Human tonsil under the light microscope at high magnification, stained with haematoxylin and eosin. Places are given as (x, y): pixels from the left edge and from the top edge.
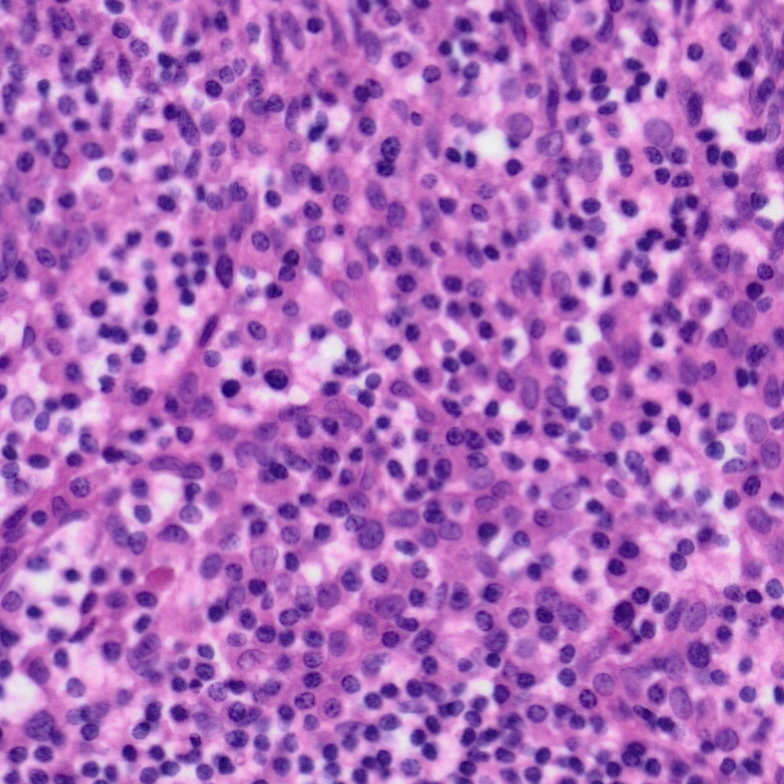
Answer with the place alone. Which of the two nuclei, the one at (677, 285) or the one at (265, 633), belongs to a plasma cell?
(265, 633)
